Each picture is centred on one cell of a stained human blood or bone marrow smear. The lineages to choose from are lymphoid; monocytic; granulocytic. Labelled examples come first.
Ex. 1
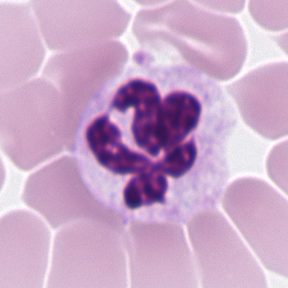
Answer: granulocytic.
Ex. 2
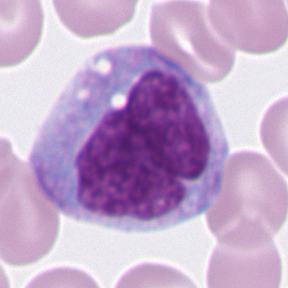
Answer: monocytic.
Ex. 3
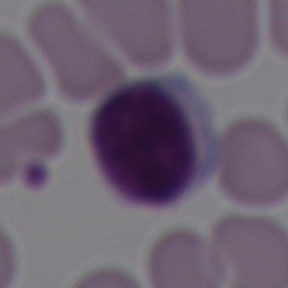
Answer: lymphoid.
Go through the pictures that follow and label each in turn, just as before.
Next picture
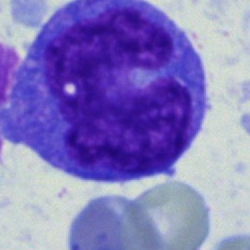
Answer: monocytic.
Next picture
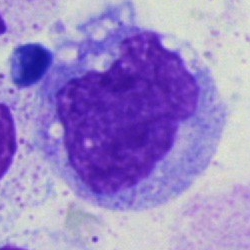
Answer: monocytic.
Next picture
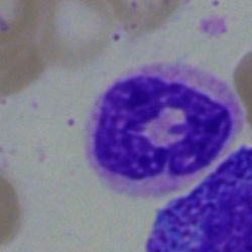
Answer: granulocytic.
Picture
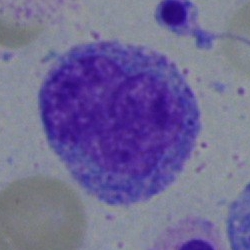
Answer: monocytic.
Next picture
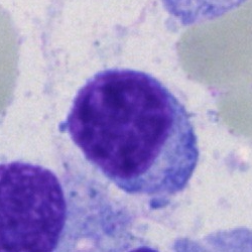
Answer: lymphoid.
